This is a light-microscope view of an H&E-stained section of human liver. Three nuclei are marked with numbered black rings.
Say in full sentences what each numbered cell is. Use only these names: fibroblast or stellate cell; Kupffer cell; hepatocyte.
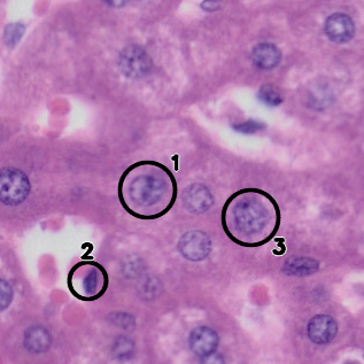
Cells 1 and 3 are hepatocytes. Cell 2 is a fibroblast or stellate cell.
